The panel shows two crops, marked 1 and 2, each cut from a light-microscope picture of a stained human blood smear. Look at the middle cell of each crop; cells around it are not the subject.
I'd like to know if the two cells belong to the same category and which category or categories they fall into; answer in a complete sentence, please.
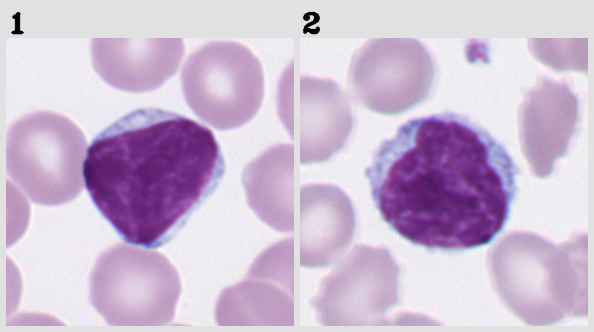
Yes, both crops show typical lymphocytes, and nothing else needs adding.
